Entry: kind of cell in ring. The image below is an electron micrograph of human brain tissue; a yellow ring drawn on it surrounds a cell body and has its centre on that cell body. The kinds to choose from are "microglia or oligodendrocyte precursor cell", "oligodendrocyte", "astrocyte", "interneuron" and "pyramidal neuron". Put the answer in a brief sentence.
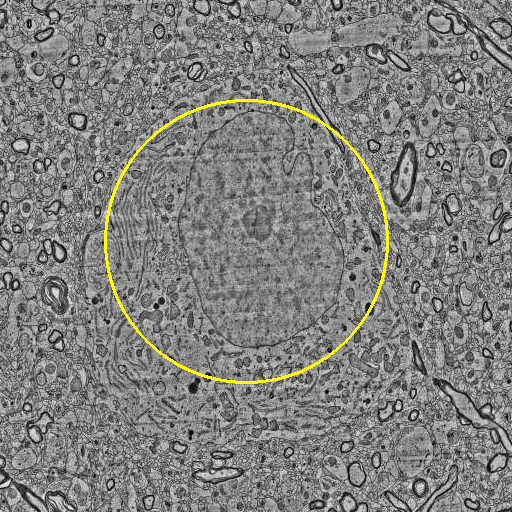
The ring has been drawn around an interneuron.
